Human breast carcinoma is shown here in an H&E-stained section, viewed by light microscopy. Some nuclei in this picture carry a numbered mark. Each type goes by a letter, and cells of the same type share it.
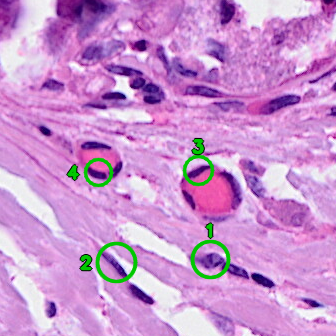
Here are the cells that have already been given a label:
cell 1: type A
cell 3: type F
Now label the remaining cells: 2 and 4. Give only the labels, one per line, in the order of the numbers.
type A
type F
